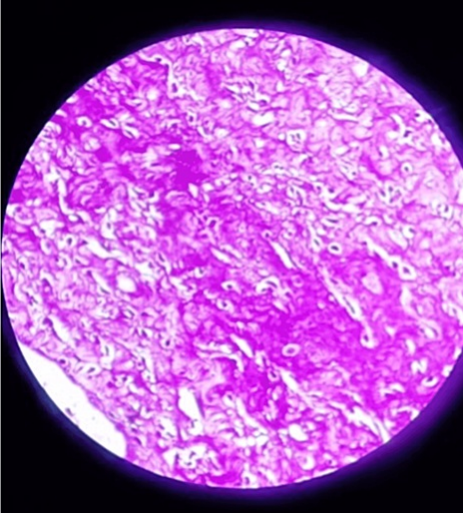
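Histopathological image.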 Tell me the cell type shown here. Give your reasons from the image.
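Scattered small oval to spindle-shaped nuclei lie singly within a dense matrix. The nuclei are small and uniform, without crowding.
Fibroblasts.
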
